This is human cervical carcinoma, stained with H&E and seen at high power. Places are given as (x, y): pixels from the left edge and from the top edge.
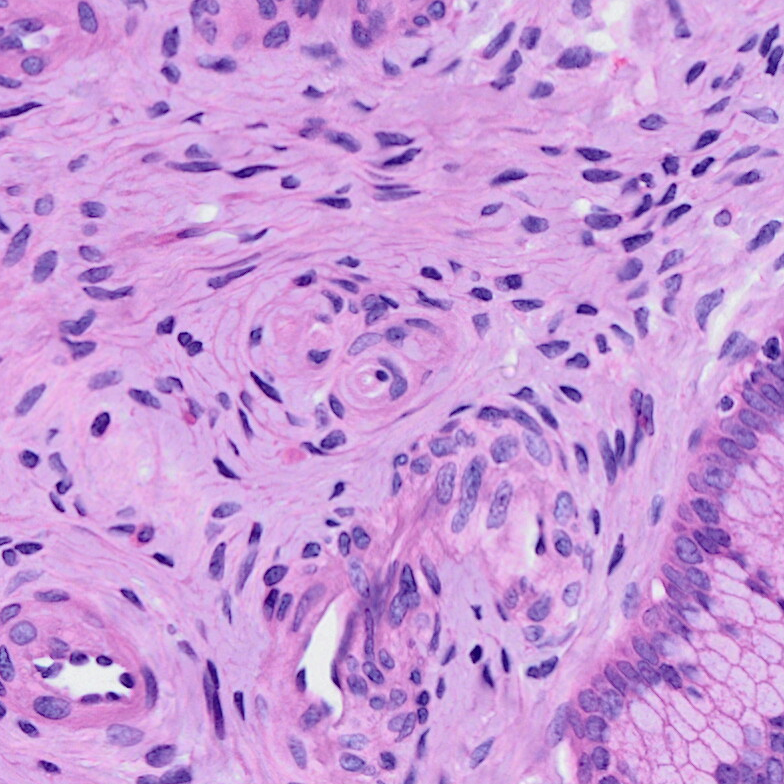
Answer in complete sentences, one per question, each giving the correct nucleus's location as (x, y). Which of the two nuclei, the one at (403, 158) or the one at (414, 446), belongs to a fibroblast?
Only the nucleus at (403, 158), of the two, belongs to a fibroblast.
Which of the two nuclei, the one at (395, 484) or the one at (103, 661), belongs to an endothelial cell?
That would be the nucleus at (103, 661); it belongs to an endothelial cell.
